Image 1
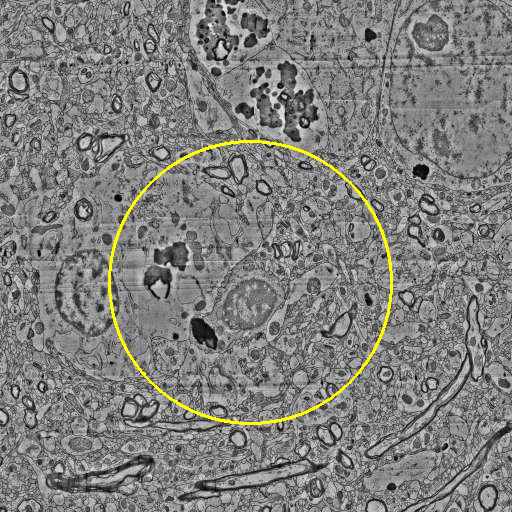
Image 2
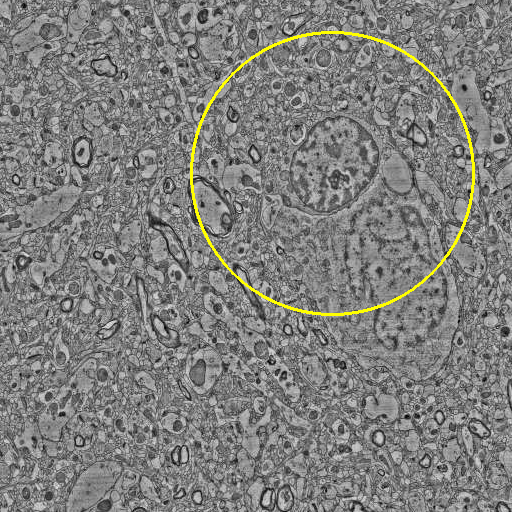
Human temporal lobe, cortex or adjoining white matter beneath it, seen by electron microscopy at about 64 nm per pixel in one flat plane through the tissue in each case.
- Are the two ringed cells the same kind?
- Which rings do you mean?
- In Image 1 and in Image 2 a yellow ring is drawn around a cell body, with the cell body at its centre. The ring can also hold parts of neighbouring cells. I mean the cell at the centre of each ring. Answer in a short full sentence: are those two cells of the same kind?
Yes, both cells are of the same kind.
